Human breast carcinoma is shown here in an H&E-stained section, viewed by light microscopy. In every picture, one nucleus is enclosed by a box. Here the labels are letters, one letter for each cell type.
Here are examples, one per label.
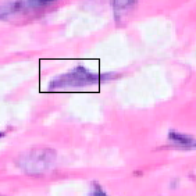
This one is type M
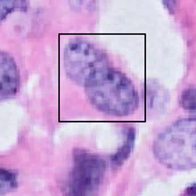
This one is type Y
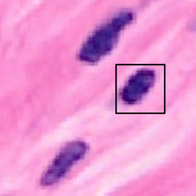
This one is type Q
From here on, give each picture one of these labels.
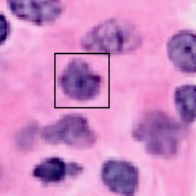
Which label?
type Q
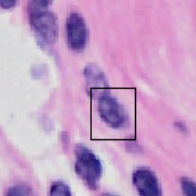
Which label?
type Q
